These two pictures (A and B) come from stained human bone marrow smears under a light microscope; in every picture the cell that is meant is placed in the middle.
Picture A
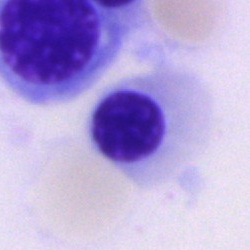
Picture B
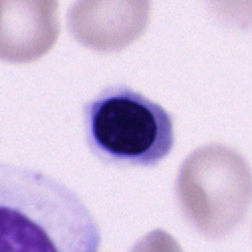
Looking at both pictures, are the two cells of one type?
yes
